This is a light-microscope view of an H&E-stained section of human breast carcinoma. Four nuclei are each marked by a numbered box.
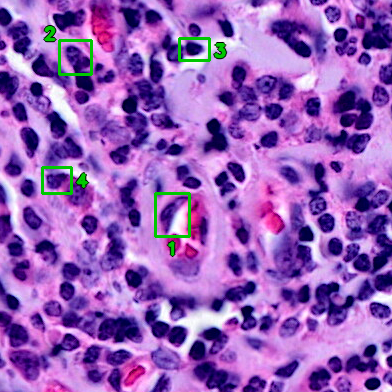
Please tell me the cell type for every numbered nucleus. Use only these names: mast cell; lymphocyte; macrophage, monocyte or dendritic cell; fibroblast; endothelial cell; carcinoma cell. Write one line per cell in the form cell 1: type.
cell 1: endothelial cell
cell 2: lymphocyte
cell 3: lymphocyte
cell 4: lymphocyte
